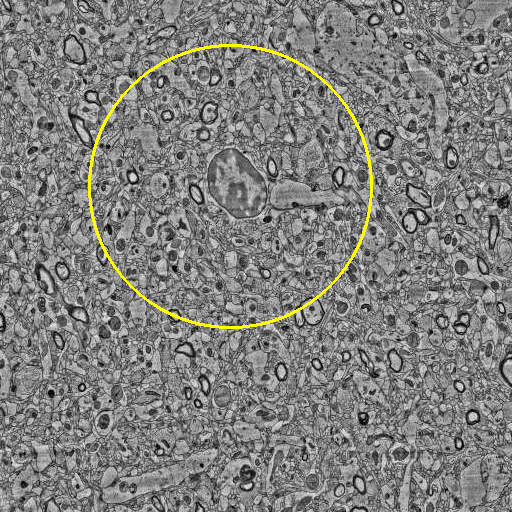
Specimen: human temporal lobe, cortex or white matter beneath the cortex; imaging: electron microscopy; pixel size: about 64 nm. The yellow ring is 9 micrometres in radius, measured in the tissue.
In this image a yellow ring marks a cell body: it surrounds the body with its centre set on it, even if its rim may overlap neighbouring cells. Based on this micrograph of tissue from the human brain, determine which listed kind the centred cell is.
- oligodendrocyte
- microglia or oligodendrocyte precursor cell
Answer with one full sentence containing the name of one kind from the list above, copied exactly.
It is a microglial cell or oligodendrocyte precursor cell whose body the yellow ring encloses at its centre.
